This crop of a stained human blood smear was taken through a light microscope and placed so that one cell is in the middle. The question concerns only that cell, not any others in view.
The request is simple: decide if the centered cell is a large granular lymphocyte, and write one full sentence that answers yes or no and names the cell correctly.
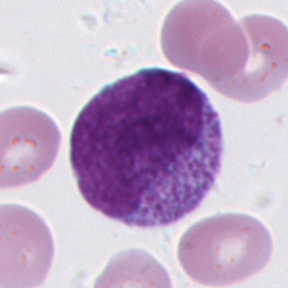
No, a myelocyte rather than a large granular lymphocyte is the cell at the centre of the crop.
